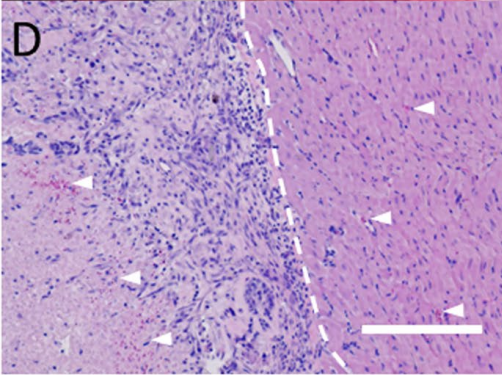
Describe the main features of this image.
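A white dashed line divides two different tissues. To the right lies heart muscle: compact, evenly pink fibres running in parallel, with sparse elongated purple nuclei set along them. To the left the tissue is loose and disordered, with pale pink matrix, many small dark purple nuclei, spindle-shaped cells and a denser band of nuclei close to the line. Small bright red-pink spots without nuclei, red blood cells, lie scattered in this left tissue, showing that blood reaches it.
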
